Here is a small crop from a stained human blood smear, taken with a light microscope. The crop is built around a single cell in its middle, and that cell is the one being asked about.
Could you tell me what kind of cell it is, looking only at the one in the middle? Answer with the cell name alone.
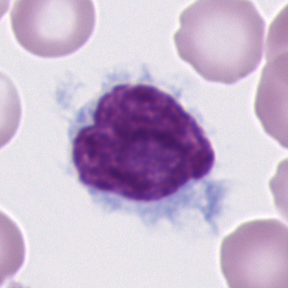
hairy cell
